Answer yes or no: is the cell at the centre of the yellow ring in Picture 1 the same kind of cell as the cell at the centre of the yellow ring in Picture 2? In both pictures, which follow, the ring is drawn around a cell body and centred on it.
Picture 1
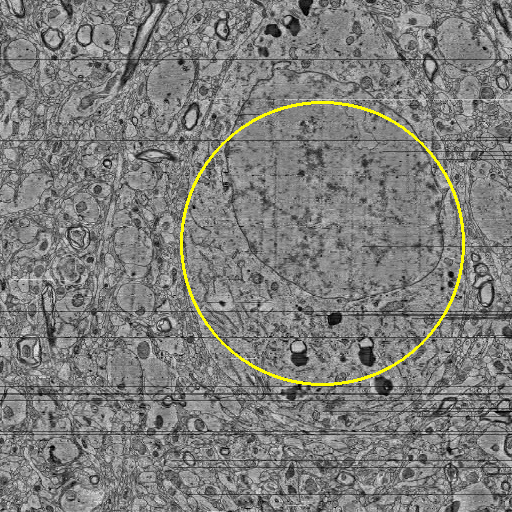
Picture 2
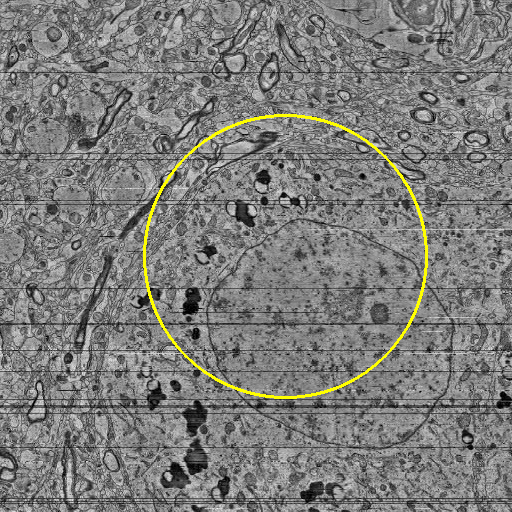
yes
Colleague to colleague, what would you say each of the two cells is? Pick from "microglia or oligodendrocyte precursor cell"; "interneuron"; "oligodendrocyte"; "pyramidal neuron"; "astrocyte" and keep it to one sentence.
The second cell is a pyramidal neuron, just as the first is.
